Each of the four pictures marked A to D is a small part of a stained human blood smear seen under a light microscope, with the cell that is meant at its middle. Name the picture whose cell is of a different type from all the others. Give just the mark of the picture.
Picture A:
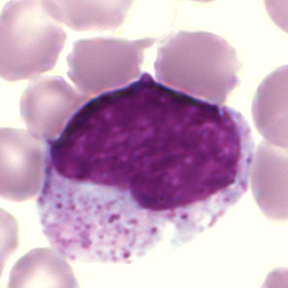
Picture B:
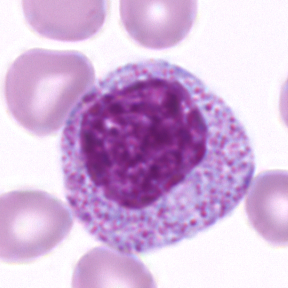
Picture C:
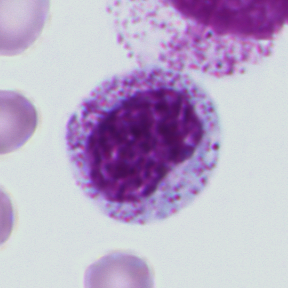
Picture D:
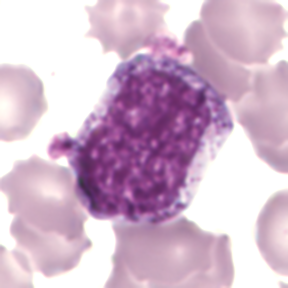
C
